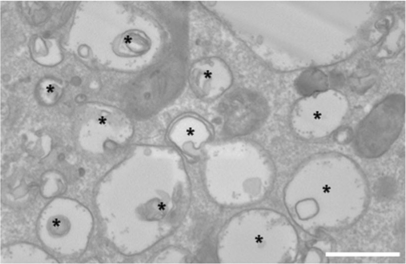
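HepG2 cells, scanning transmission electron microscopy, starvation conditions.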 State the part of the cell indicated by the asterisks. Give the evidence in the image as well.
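Many round membrane-bound vacuoles with pale, electron-lucent content lie in the cytoplasm. Several vacuoles contain small dense inclusions or membrane whorls.
Autophagic vacuoles.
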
